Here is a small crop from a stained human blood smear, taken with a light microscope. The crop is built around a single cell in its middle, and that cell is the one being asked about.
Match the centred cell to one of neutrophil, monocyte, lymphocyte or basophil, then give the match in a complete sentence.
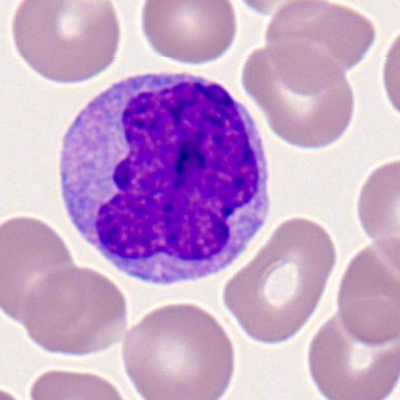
Classified as a monocyte is the cell in the middle of this crop.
